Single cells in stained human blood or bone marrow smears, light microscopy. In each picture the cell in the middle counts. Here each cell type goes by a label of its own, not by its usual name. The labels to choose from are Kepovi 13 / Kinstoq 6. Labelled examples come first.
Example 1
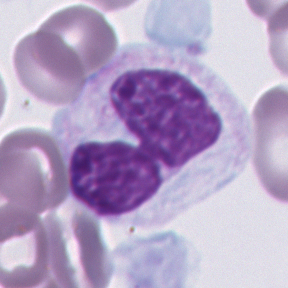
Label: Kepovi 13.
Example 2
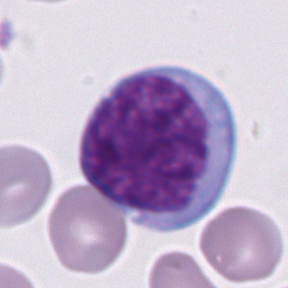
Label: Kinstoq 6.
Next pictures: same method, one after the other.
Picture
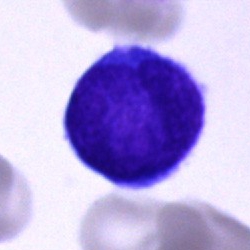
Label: Kinstoq 6.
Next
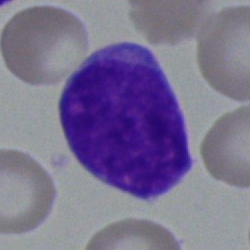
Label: Kinstoq 6.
